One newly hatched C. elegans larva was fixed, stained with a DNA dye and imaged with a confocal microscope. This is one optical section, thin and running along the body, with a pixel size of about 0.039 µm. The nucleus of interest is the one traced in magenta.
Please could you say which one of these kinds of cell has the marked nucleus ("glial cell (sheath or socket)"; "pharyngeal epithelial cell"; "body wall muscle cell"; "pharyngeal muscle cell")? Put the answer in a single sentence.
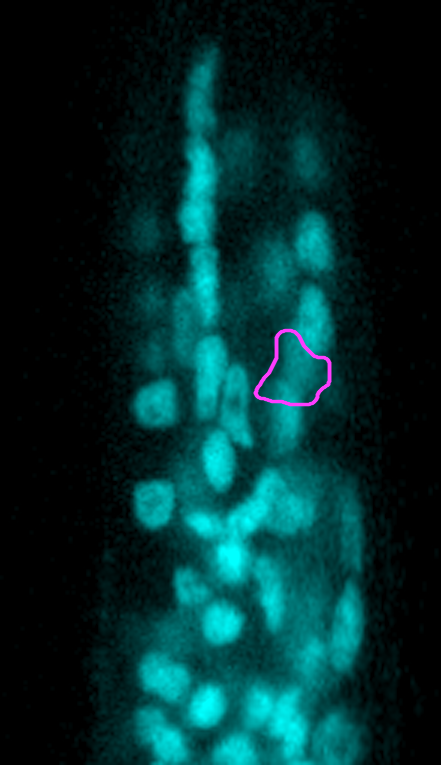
The marked nucleus belongs to a body wall muscle cell.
